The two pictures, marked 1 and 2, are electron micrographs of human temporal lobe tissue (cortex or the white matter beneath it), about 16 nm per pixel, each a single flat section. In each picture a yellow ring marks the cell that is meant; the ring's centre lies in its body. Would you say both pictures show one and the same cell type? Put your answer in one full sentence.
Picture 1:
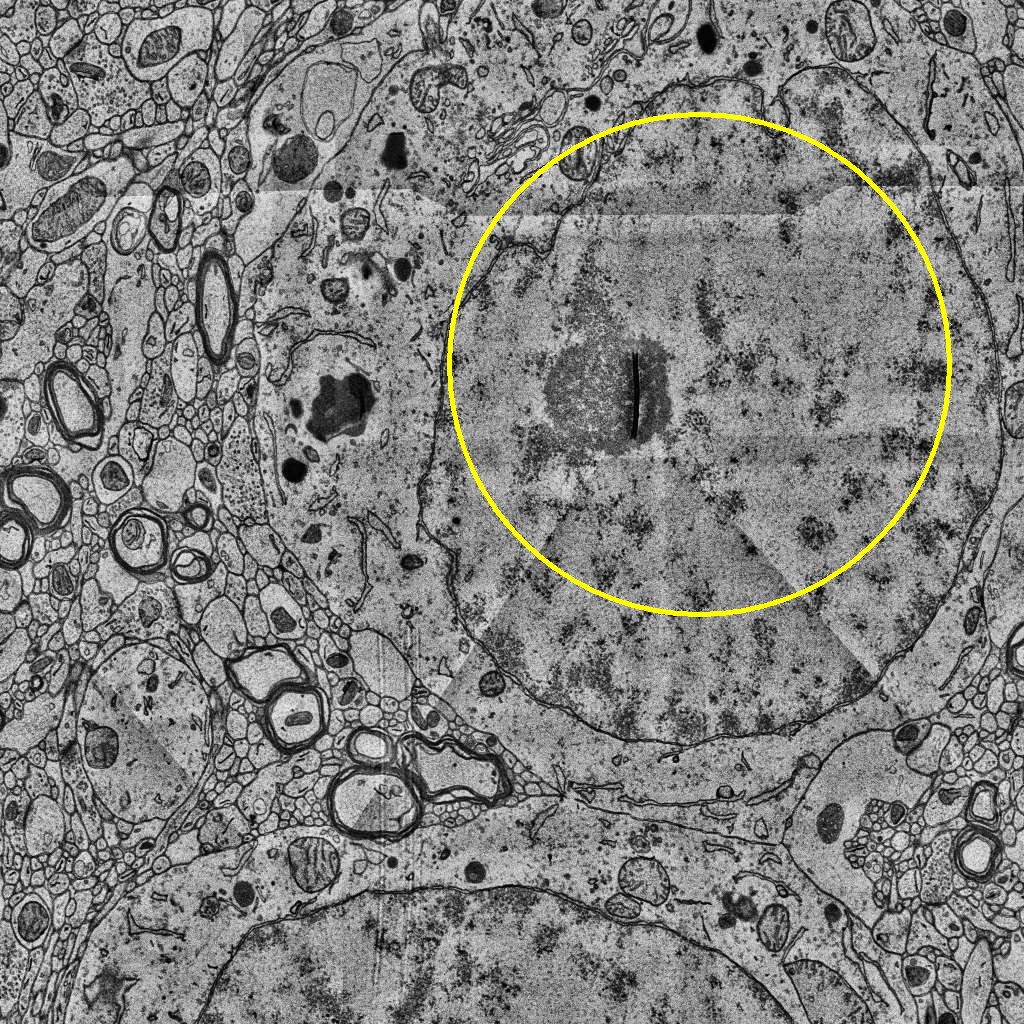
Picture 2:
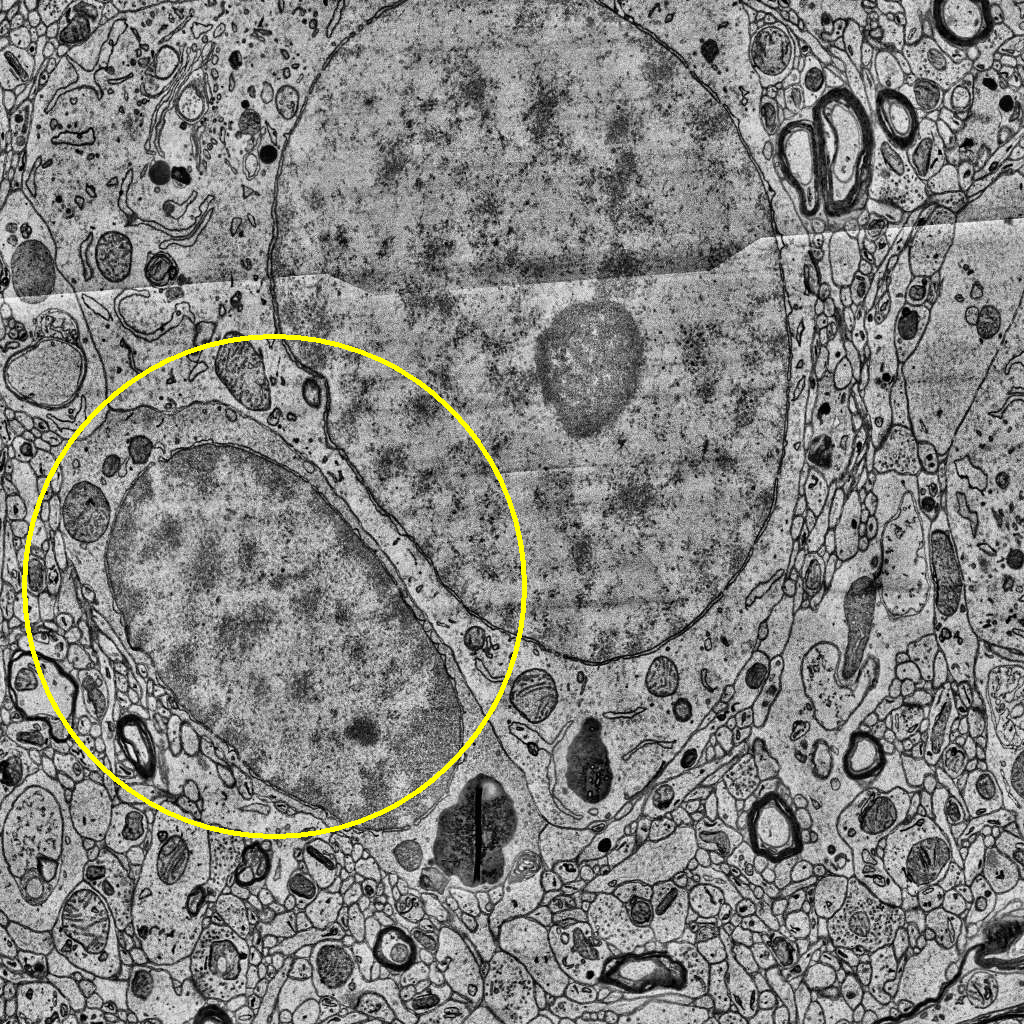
No. Picture 1 shows a pyramidal neuron, but picture 2 shows an oligodendrocyte.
